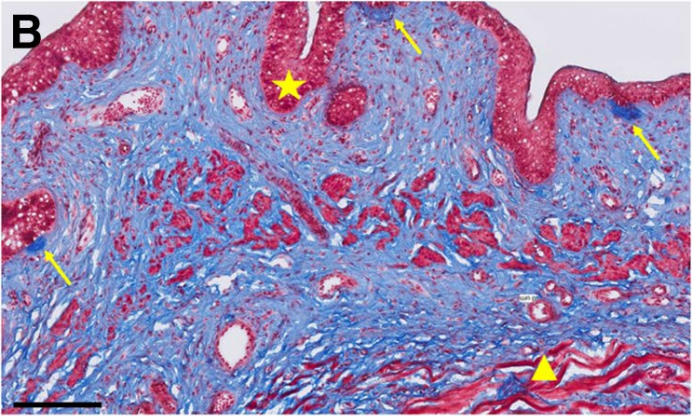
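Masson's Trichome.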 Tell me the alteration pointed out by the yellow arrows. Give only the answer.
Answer: Foci with increased density of collagen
